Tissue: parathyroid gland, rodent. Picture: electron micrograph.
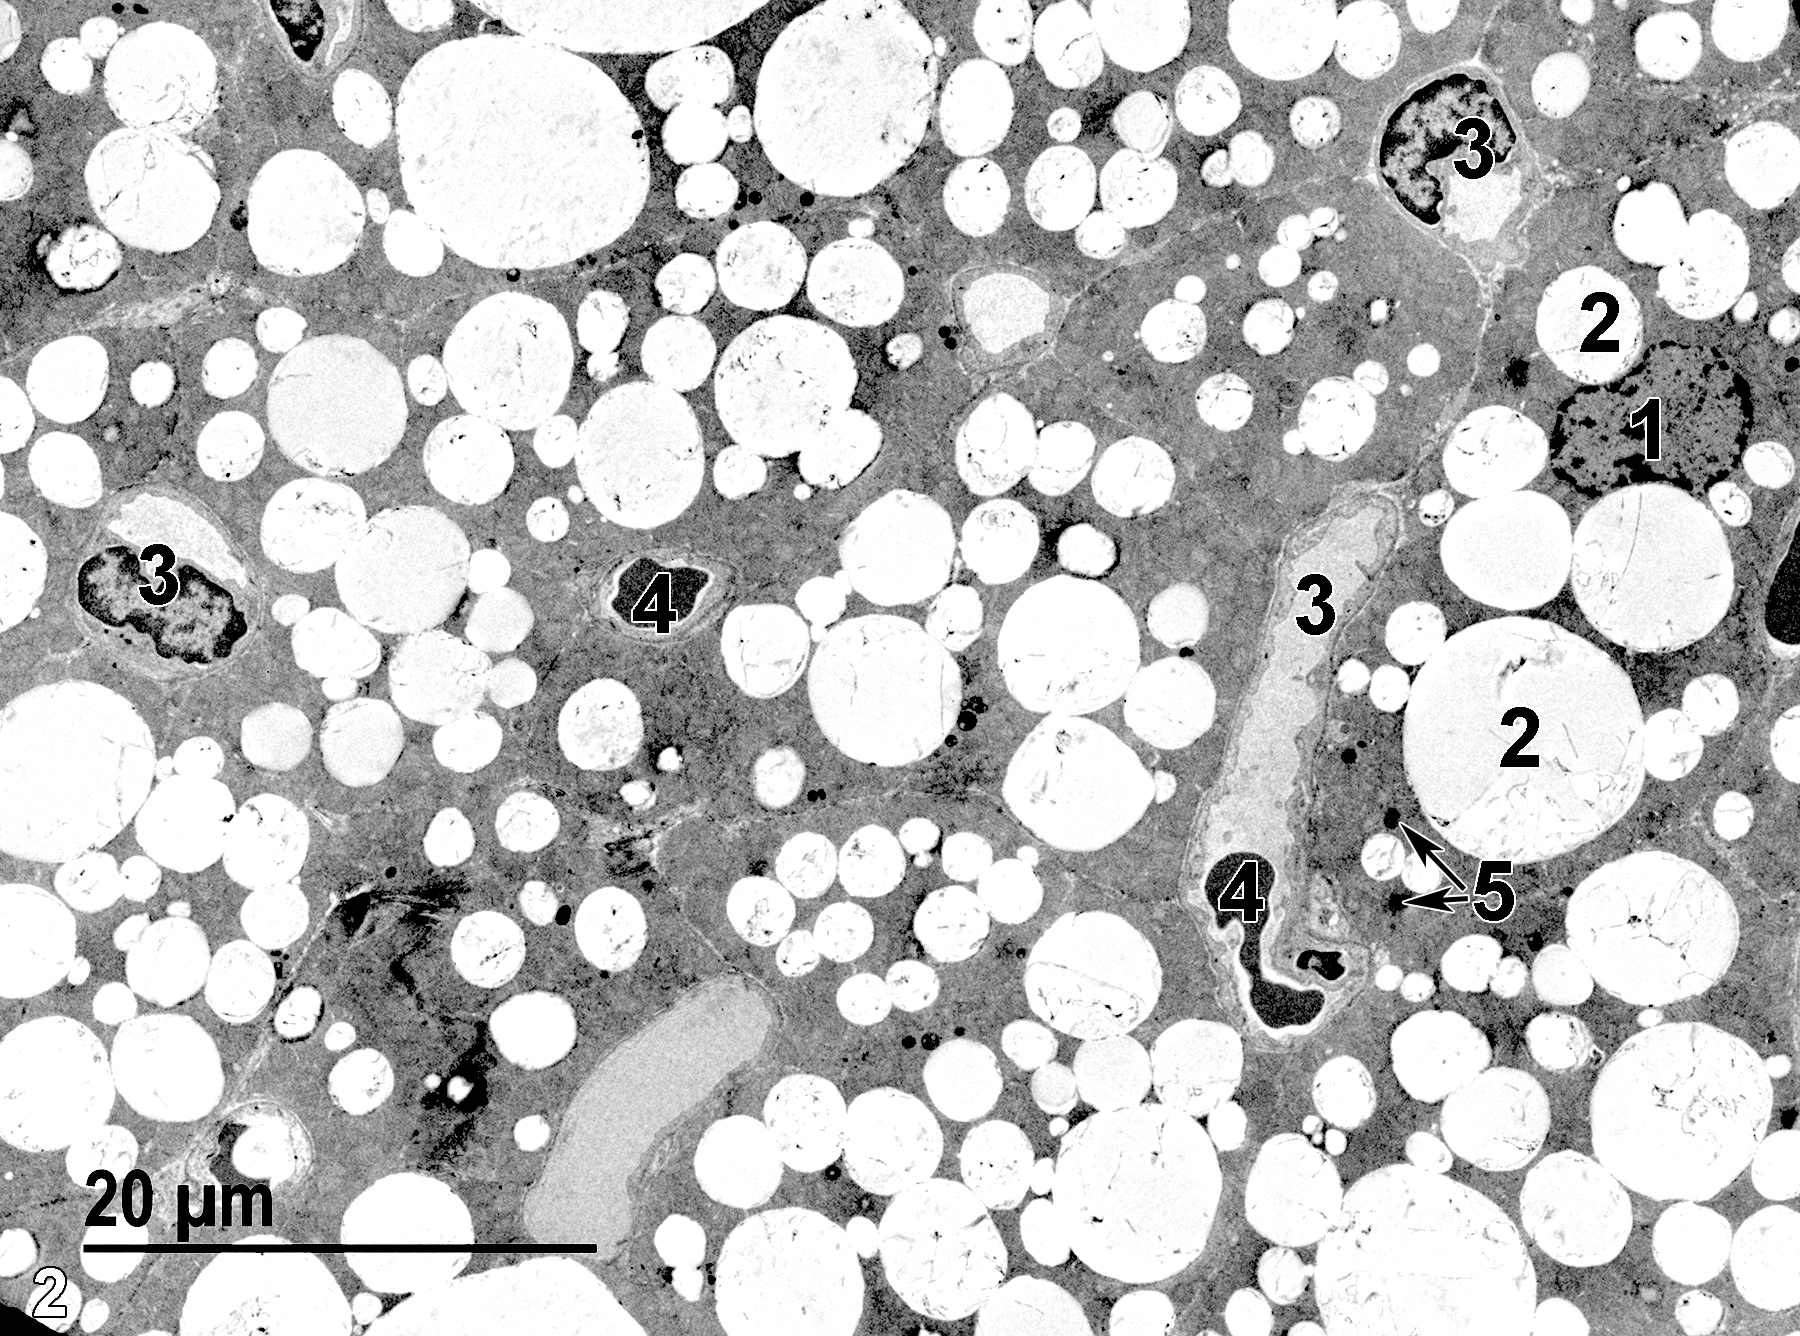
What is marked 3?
Septal capillaries.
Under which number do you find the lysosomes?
The lysosomes: 5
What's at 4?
erythrocytes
